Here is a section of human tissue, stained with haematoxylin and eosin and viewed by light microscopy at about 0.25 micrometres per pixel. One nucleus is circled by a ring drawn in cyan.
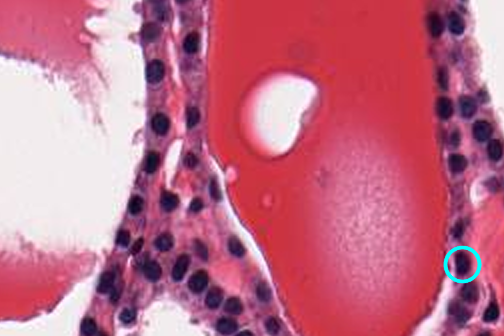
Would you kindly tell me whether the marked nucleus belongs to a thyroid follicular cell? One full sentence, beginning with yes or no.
Yes, the marked nucleus is to be read as that of a thyroid follicular cell.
